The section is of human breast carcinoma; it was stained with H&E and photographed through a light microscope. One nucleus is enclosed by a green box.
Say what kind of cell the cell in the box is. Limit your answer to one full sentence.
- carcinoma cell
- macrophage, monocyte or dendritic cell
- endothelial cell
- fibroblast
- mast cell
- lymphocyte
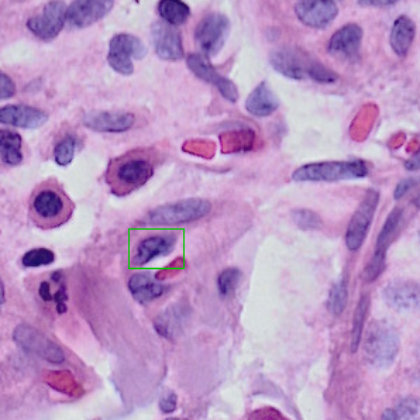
Microscopically, the cell in the box is categorized as an endothelial cell.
